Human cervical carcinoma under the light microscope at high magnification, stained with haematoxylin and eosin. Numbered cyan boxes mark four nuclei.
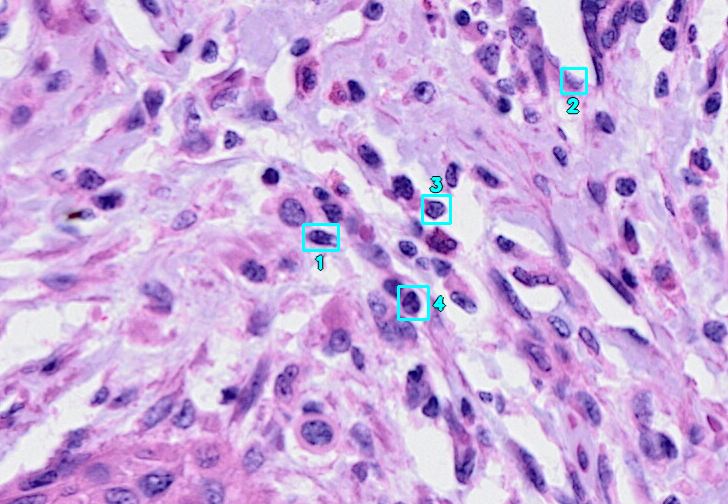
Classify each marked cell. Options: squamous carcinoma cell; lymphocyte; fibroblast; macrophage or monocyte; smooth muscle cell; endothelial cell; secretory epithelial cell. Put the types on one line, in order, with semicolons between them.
lymphocyte; endothelial cell; lymphocyte; lymphocyte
